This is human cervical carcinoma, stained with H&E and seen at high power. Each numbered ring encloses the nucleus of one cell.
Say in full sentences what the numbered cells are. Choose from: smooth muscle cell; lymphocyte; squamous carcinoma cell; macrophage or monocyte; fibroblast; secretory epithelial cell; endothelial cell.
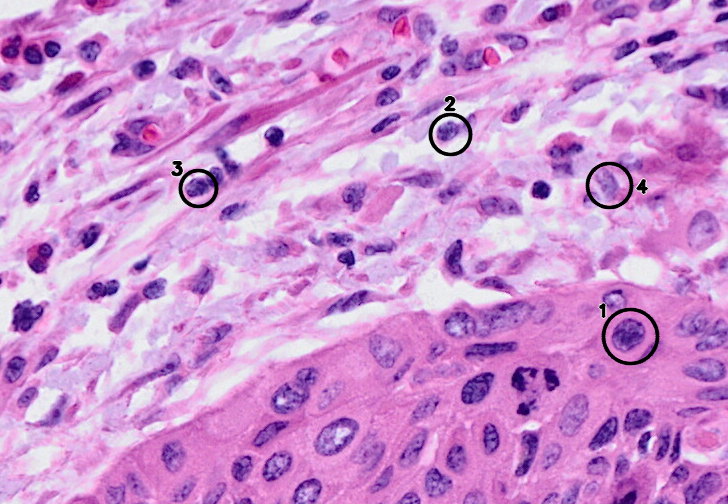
Cell 1 is a squamous carcinoma cell. Cells 2 and 3 are lymphocytes. Cell 4 is a fibroblast.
